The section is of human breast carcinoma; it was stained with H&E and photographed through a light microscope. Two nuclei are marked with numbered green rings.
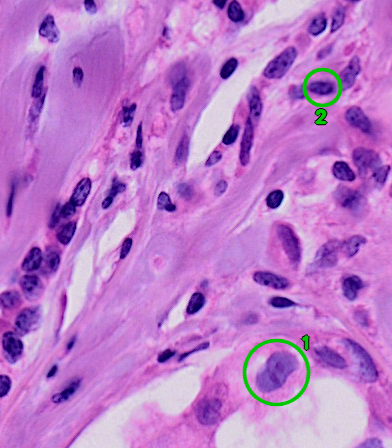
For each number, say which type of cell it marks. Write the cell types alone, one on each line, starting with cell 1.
carcinoma cell
lymphocyte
